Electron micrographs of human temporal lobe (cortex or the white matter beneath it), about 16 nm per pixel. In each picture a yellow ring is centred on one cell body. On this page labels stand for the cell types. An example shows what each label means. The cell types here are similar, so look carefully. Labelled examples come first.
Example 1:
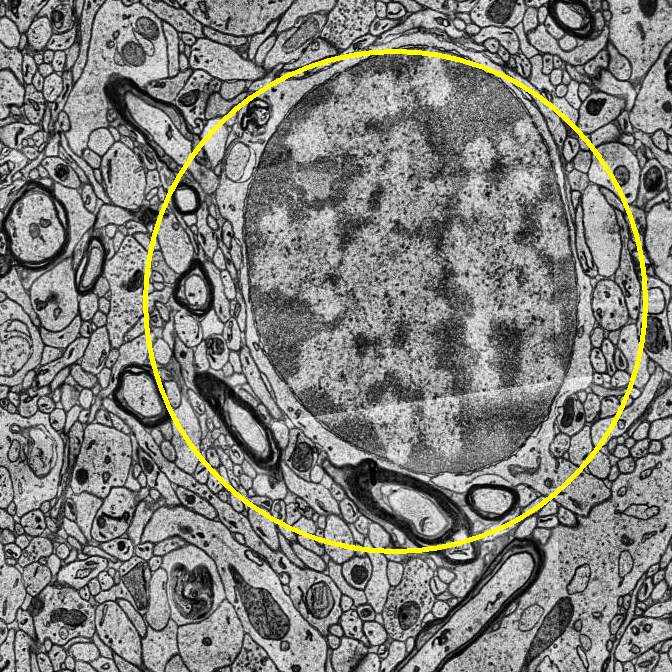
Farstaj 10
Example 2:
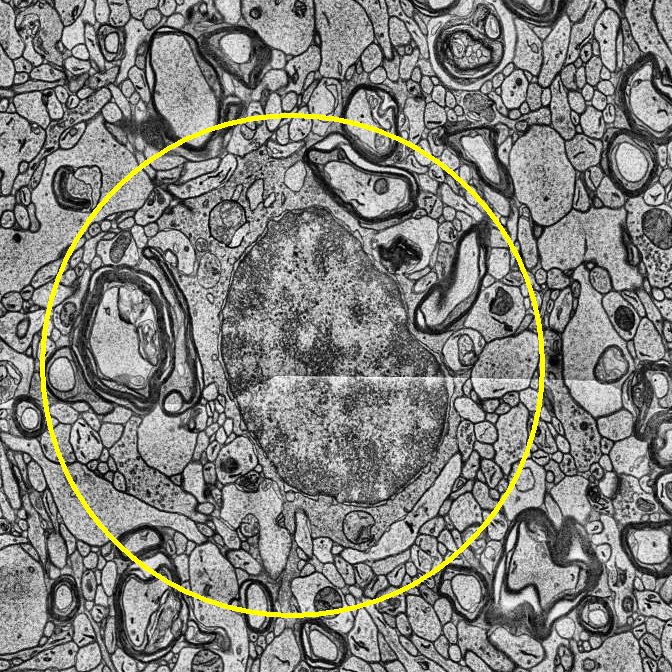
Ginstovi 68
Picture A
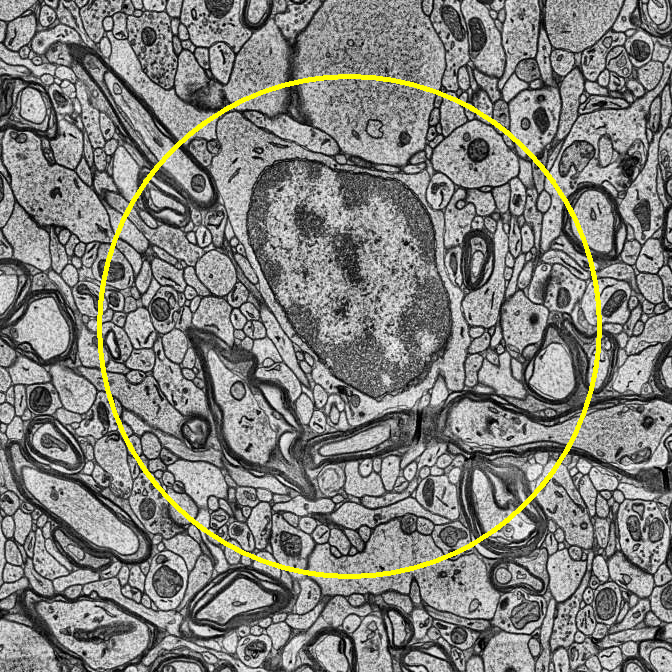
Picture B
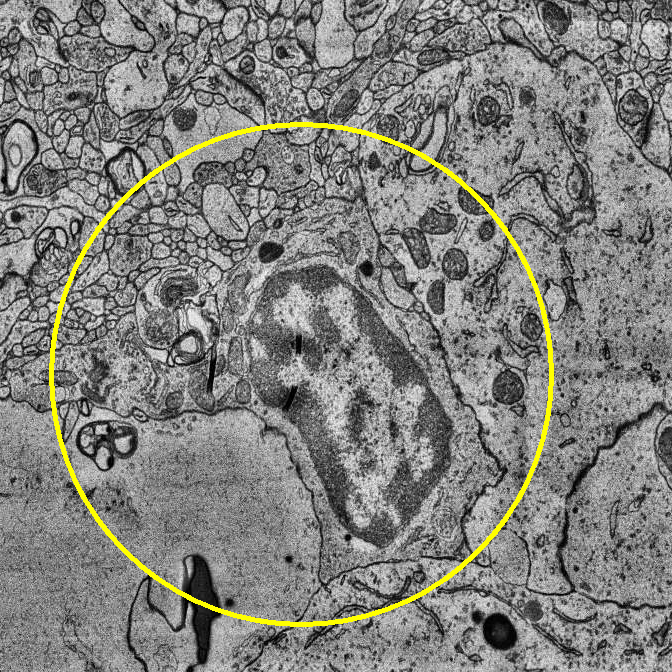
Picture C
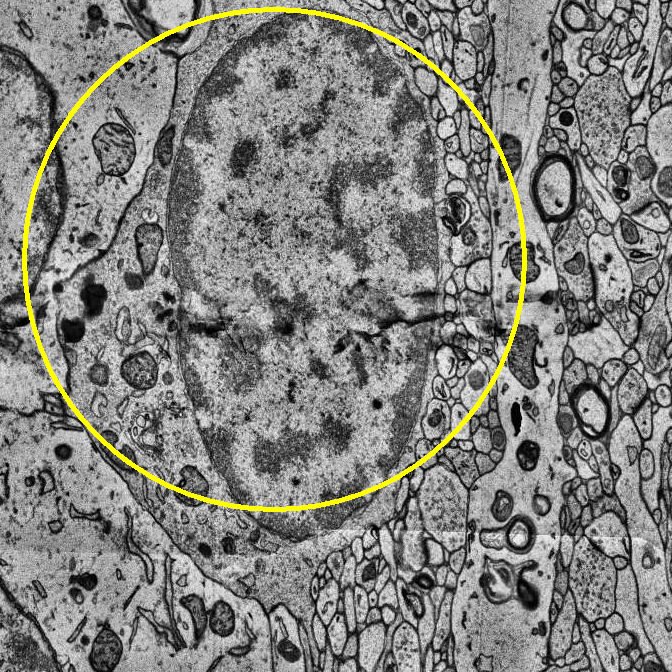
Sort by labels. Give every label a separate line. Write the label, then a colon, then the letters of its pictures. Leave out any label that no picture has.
Farstaj 10: A, B
Ginstovi 68: C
